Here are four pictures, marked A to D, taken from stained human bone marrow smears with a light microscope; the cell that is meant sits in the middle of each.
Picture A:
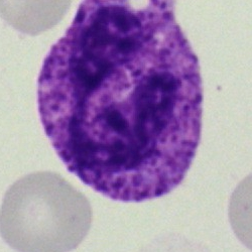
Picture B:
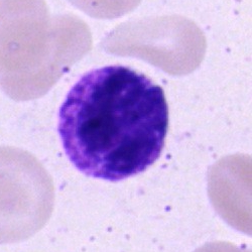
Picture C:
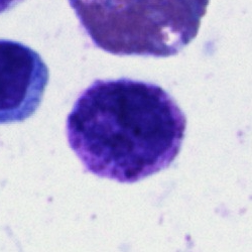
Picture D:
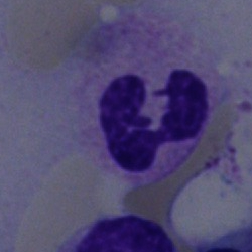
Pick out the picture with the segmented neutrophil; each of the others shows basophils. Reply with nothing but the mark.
D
